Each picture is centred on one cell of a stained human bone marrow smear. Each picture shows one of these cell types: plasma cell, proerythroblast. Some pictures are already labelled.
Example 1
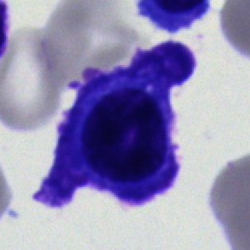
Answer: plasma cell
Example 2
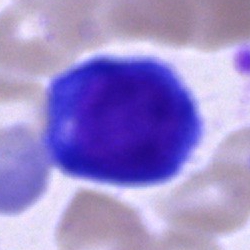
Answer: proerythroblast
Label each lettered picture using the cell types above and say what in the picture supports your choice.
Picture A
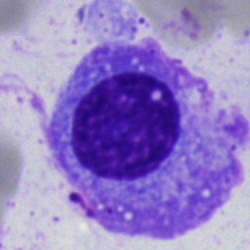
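plasma cell. Reason: The chromatin is dark purple and coarsely clumped.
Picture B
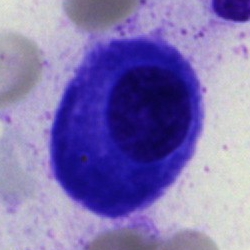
plasma cell. Reason: The cytoplasm is abundant and stains a deep blue.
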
